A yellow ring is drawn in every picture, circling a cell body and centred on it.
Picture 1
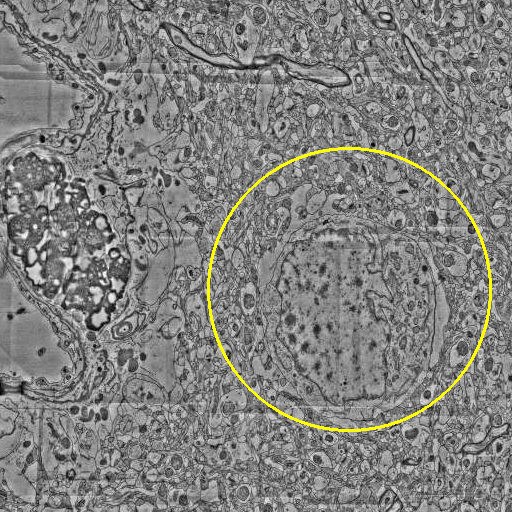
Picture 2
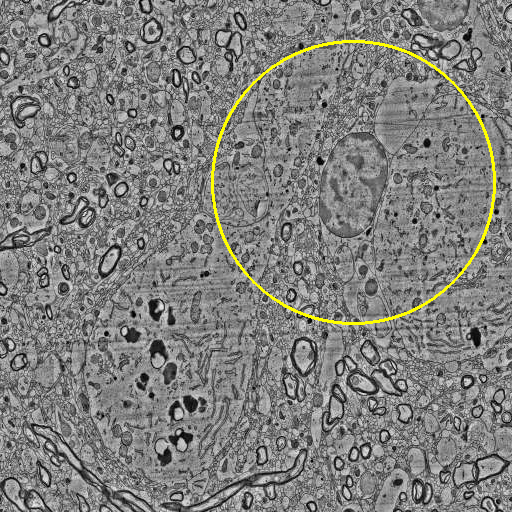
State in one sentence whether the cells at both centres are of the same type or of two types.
The cells at the two ring centres, one per picture, are of two types.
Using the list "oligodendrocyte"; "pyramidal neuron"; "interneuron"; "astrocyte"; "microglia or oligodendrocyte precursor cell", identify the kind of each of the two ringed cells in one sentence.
The first is an interneuron and the second is a microglial cell or oligodendrocyte precursor cell.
